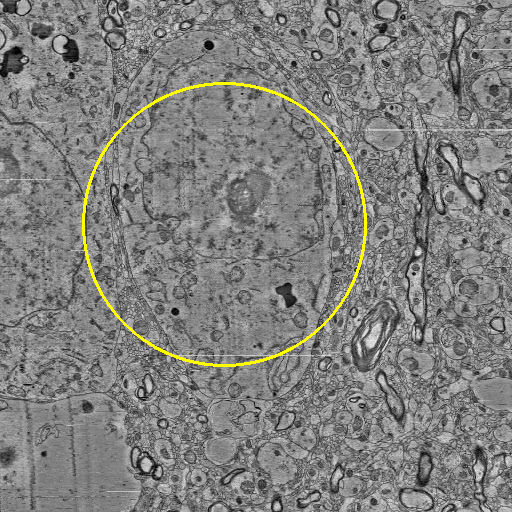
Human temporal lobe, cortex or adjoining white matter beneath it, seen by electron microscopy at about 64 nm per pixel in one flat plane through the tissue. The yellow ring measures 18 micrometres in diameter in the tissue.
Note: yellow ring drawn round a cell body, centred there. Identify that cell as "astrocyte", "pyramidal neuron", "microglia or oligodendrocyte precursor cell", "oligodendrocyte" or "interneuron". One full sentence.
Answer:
The cell in the middle of the ring is an interneuron.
